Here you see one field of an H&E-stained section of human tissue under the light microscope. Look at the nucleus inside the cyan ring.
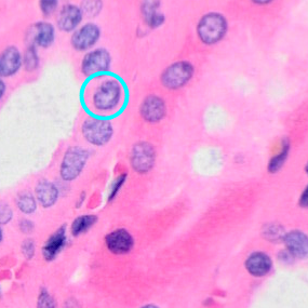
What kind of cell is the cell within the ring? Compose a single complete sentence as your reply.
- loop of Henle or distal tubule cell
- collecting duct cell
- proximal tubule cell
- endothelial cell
Right, so the cell within the ring is a collecting duct cell, to answer that.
